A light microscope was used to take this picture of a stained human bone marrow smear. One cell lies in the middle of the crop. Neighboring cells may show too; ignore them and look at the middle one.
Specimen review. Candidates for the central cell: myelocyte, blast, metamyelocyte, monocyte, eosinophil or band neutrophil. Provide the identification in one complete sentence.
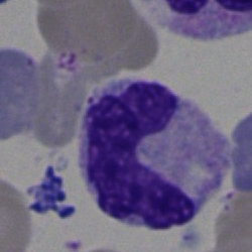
The cell in the middle of the field of view is a band neutrophil.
